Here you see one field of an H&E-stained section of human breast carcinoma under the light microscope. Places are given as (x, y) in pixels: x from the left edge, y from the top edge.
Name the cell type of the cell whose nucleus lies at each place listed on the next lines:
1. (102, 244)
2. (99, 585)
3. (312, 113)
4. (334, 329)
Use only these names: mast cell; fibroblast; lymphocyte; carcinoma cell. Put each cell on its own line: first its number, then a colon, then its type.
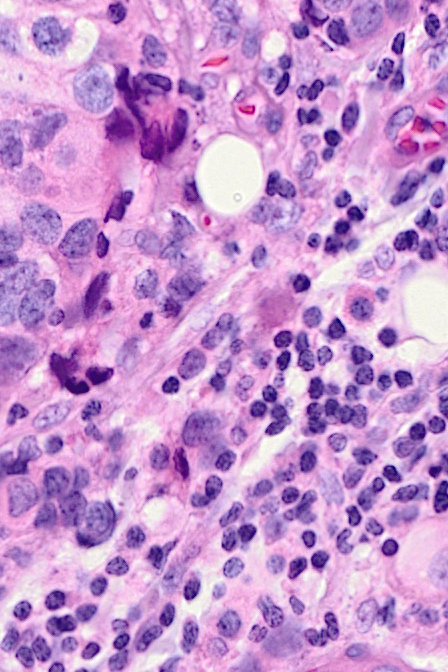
1: carcinoma cell
2: lymphocyte
3: lymphocyte
4: lymphocyte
